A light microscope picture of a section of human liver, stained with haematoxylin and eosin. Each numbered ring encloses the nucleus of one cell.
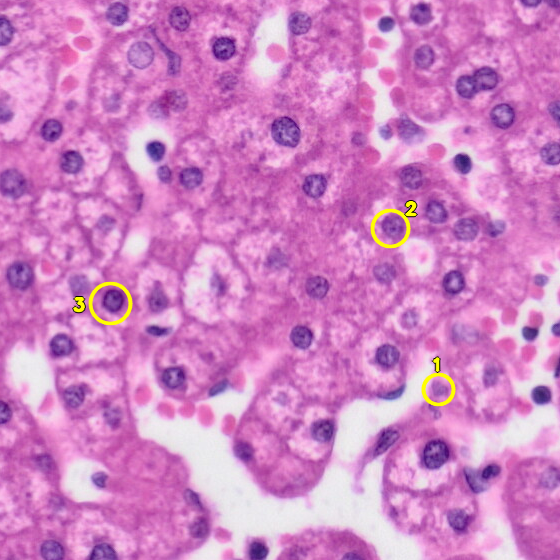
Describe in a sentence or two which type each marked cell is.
Cell 1 is a Kupffer cell. Cells 2 and 3 are hepatocytes.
